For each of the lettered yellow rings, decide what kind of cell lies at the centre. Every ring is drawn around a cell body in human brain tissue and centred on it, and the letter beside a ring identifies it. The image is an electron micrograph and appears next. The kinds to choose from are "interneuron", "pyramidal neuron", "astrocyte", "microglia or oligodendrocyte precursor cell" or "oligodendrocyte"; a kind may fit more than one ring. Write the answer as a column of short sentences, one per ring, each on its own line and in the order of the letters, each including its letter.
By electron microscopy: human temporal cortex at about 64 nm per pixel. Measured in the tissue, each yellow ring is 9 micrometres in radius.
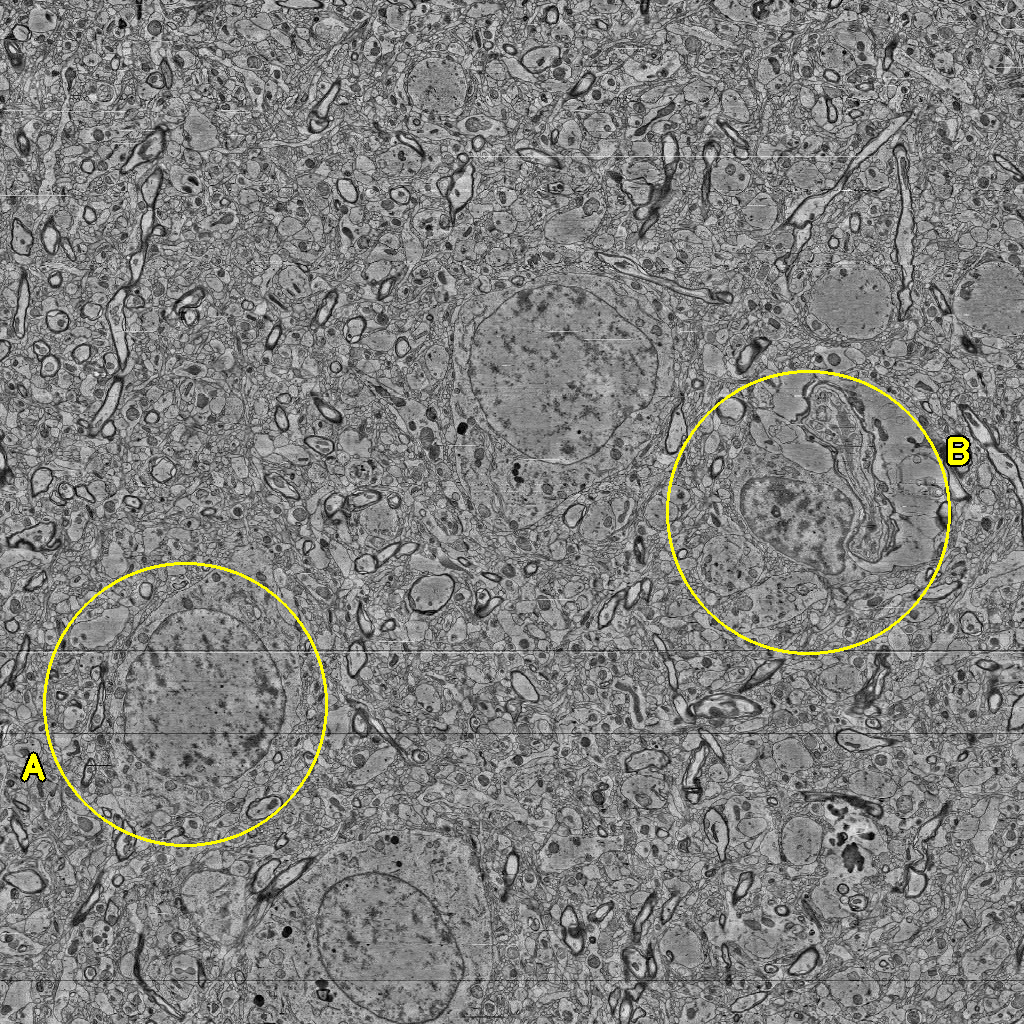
In the centre of ring A lies an interneuron.
In the centre of ring B lies an oligodendrocyte.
